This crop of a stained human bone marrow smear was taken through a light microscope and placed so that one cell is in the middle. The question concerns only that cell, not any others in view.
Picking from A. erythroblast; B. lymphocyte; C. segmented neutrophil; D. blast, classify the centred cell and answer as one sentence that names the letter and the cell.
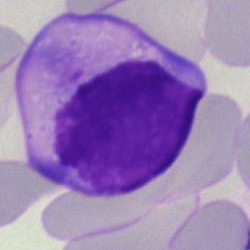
The best answer is option D, since the cell in the middle is a blast.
